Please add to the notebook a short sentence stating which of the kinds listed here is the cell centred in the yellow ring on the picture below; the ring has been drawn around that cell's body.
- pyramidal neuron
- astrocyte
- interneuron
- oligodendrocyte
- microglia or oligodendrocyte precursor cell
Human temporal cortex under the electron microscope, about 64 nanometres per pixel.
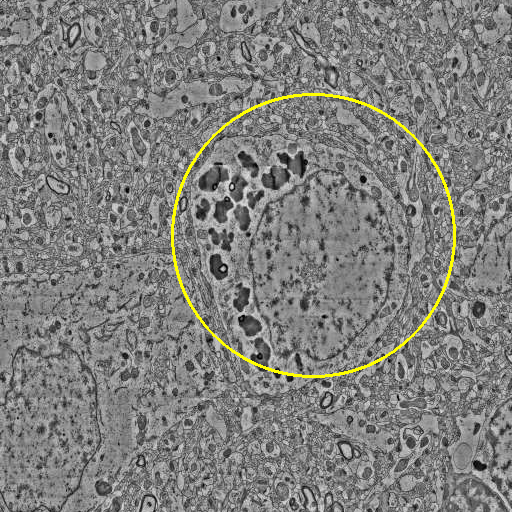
The cell centred in the yellow ring is an interneuron.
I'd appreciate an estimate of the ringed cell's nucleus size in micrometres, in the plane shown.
In this plane the nucleus measures roughly 12 by 10 micrometers.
